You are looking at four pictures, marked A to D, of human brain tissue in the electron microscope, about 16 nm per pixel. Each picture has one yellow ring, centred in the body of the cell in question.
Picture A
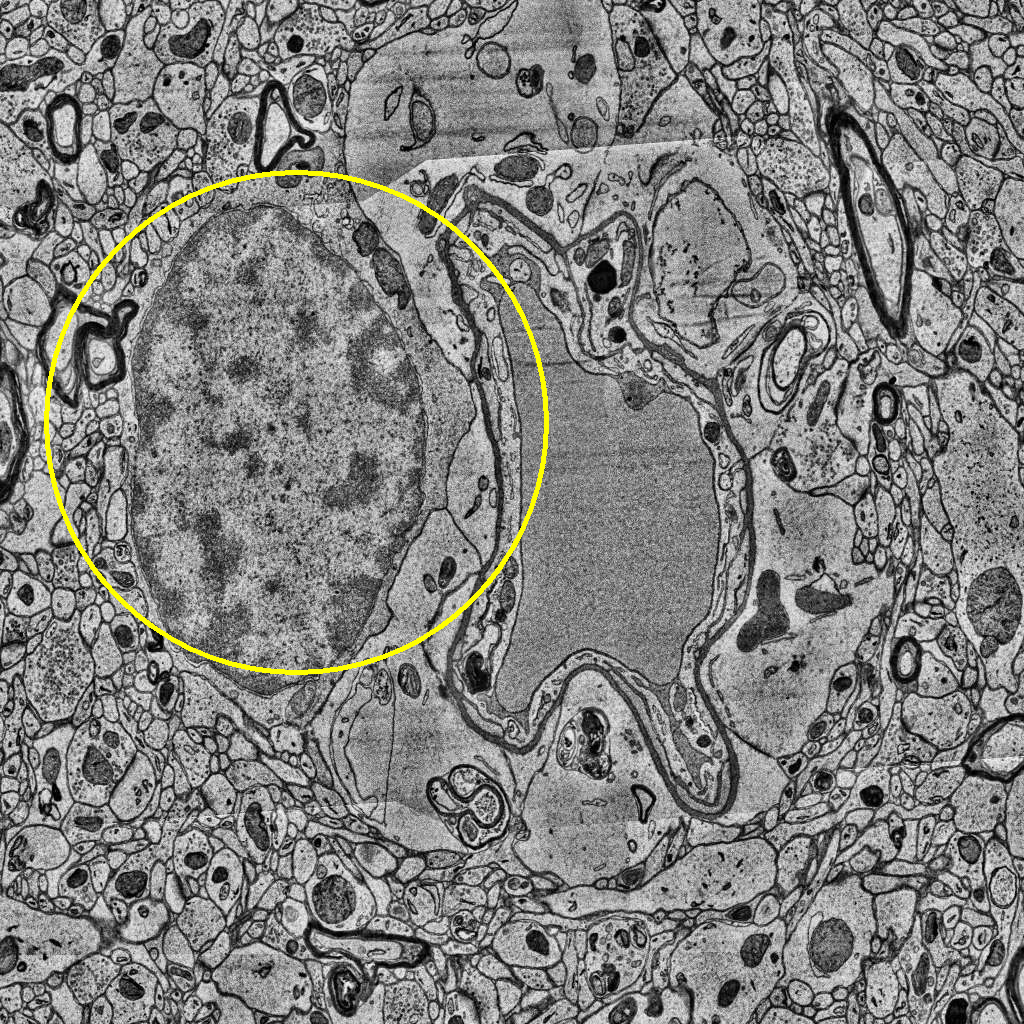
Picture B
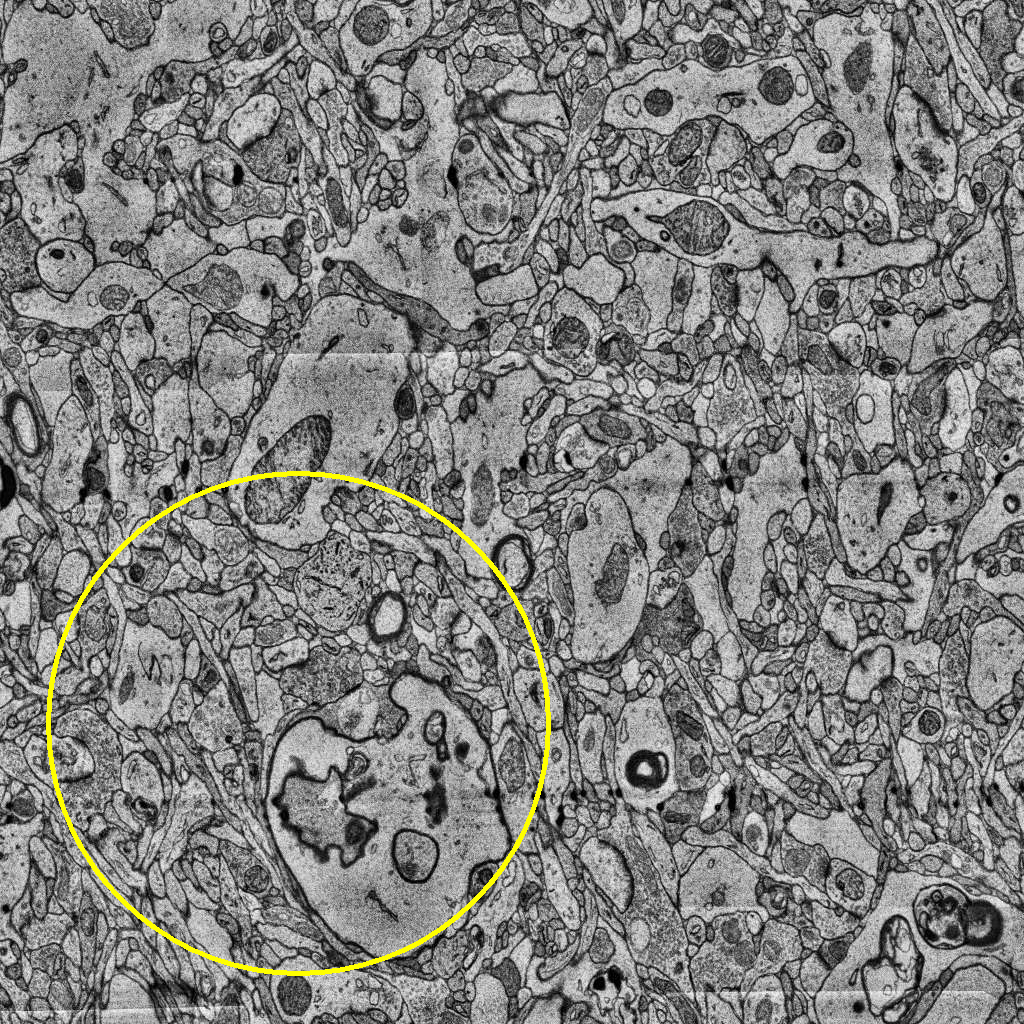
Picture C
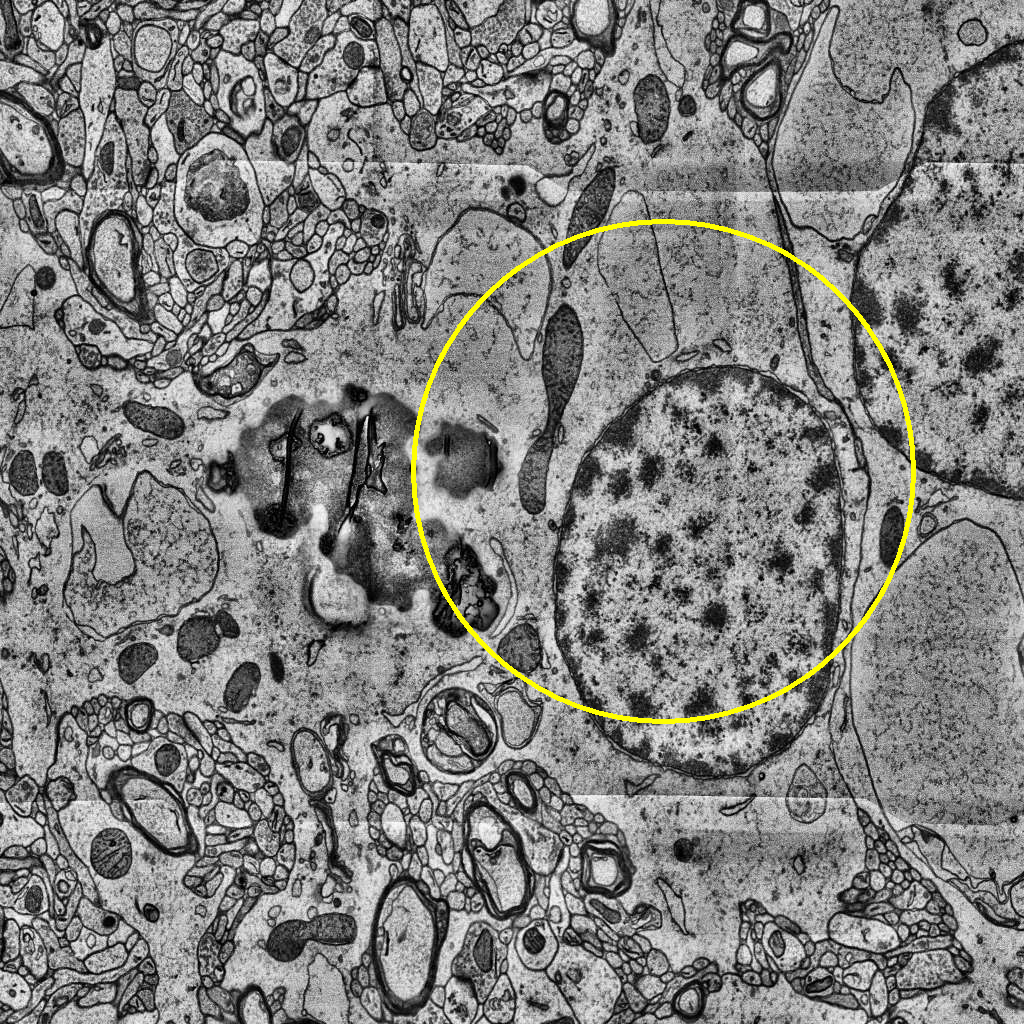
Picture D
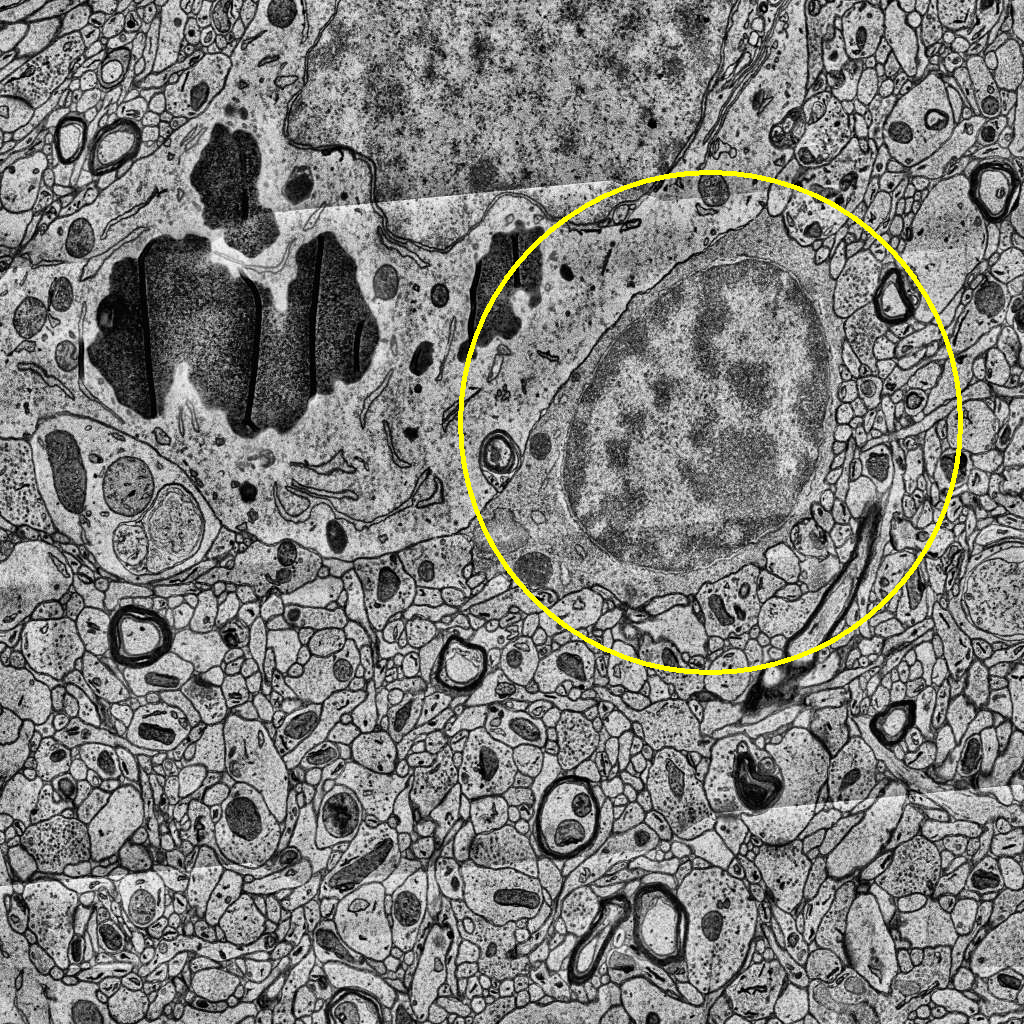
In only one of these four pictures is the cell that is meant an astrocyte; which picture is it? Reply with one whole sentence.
Picture C shows the astrocyte.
